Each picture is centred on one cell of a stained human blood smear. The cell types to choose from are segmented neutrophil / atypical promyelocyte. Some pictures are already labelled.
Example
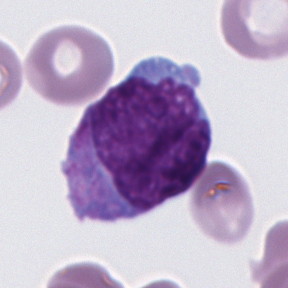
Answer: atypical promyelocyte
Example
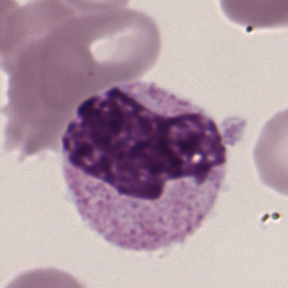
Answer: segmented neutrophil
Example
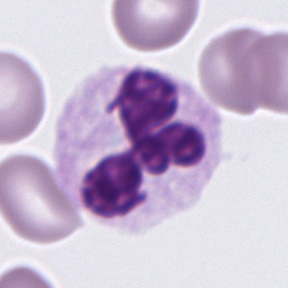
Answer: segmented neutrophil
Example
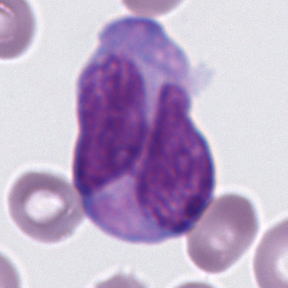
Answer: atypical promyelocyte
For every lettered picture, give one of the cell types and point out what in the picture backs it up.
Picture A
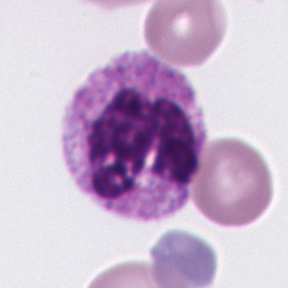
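segmented neutrophil. The nucleus is divided into separate lobes rather than forming one mass.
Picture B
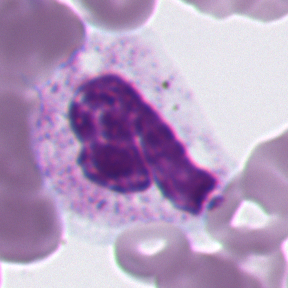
segmented neutrophil. The cytoplasm is abundant and pale pinkish-lilac.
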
